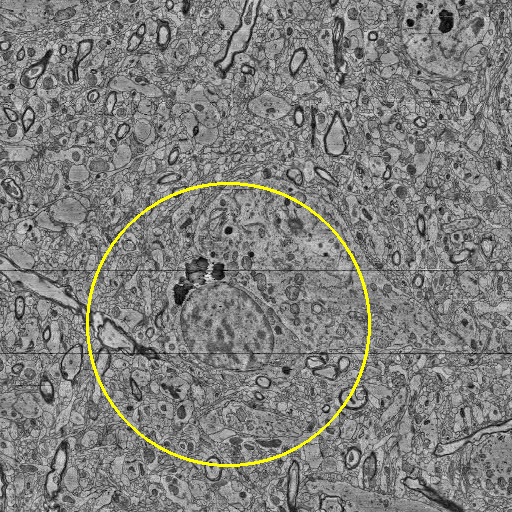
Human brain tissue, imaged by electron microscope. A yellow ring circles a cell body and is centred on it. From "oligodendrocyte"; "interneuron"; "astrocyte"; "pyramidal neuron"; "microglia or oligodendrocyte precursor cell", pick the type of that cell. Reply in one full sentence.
The cell body at the centre of the yellow ring belongs to an oligodendrocyte.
